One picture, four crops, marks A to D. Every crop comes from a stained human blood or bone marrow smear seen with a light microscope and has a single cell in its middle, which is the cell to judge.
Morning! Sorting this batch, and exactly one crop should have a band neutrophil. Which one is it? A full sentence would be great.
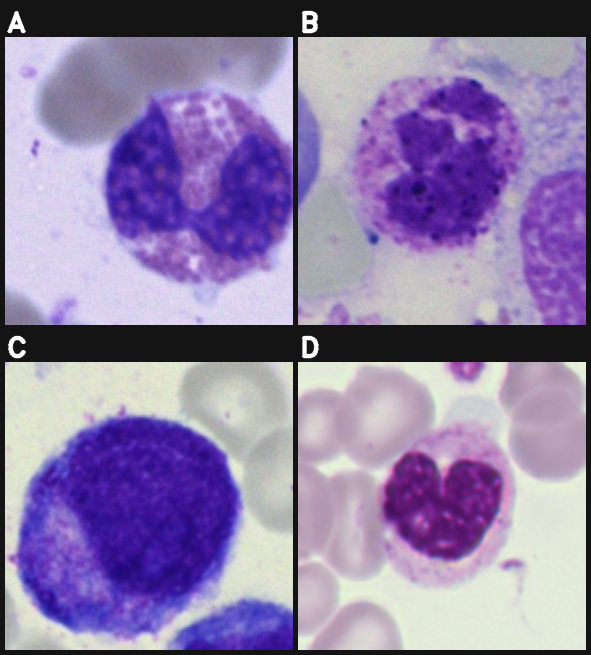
On review of the set, crop D is the one showing a band neutrophil.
